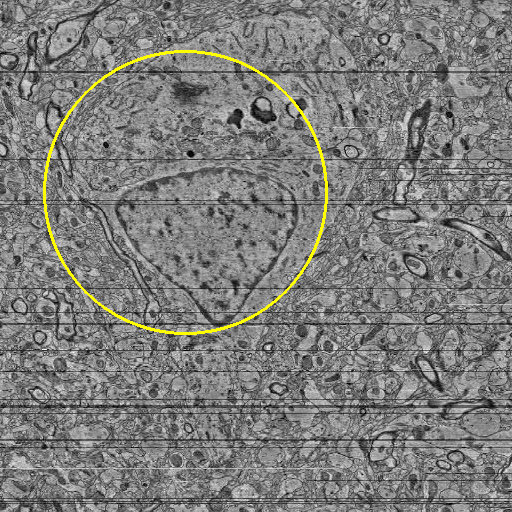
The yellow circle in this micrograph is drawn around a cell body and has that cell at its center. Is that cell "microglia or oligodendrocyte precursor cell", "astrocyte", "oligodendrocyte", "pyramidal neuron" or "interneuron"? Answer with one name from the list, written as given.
microglia or oligodendrocyte precursor cell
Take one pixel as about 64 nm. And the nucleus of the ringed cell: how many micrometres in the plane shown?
Approximately 11 micrometres across in this plane.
